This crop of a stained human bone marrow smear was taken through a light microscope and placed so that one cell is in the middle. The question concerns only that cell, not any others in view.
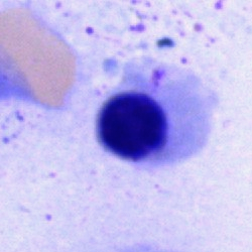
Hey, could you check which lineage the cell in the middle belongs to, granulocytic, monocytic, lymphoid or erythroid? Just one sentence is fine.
The cell held in the center of the crop belongs to the erythroid lineage.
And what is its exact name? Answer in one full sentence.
For this crop, the central cell is an erythroblast.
